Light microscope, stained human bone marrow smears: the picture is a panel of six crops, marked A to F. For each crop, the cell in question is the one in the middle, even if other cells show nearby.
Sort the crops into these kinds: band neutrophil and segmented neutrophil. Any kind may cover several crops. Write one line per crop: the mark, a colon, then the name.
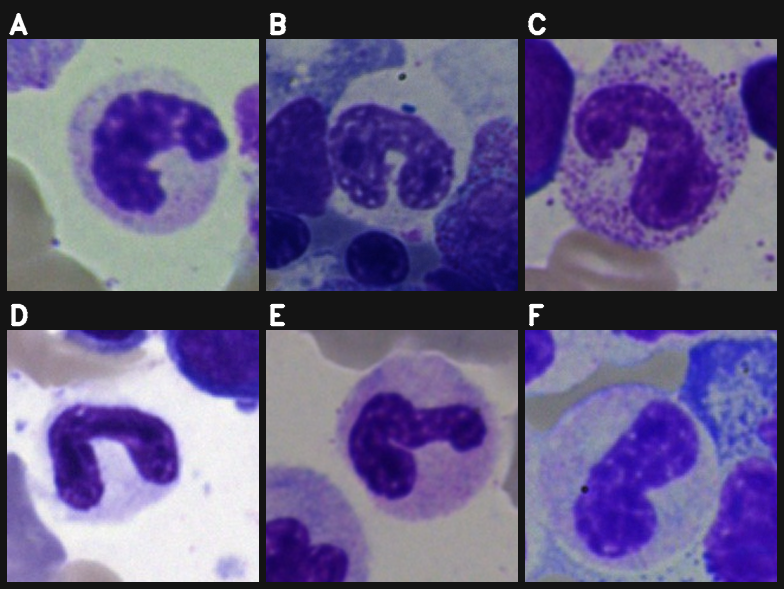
A: segmented neutrophil
B: band neutrophil
C: segmented neutrophil
D: band neutrophil
E: segmented neutrophil
F: band neutrophil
